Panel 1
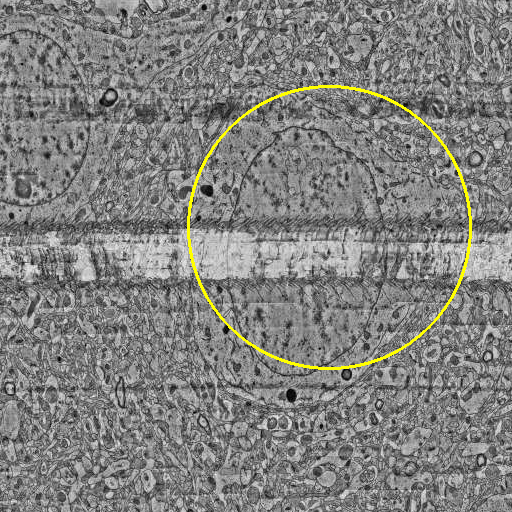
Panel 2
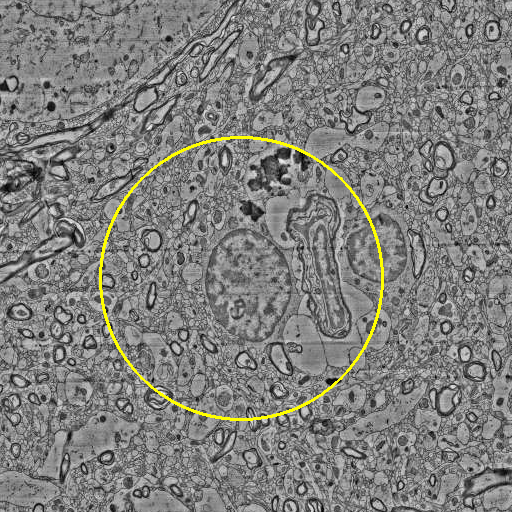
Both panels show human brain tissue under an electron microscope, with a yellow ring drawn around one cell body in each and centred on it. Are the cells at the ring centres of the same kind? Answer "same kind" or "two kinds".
two kinds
